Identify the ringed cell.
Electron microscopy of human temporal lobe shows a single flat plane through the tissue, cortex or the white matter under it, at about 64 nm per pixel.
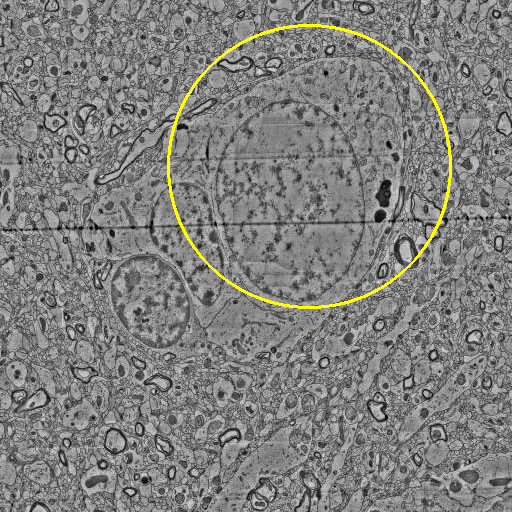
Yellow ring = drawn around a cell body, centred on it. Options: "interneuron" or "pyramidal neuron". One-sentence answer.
What the ring is centred on is a pyramidal neuron.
